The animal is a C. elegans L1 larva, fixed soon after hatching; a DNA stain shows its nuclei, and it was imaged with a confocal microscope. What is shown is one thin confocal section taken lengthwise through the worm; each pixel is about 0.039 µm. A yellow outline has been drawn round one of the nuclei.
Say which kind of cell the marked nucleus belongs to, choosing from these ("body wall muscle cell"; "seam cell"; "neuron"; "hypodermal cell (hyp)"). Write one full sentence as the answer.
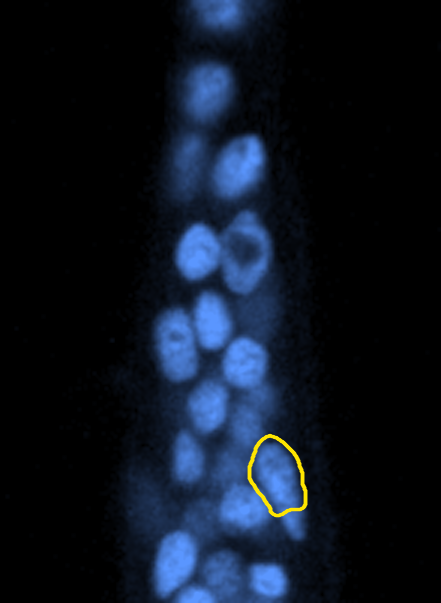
This is the nucleus of a body wall muscle cell.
